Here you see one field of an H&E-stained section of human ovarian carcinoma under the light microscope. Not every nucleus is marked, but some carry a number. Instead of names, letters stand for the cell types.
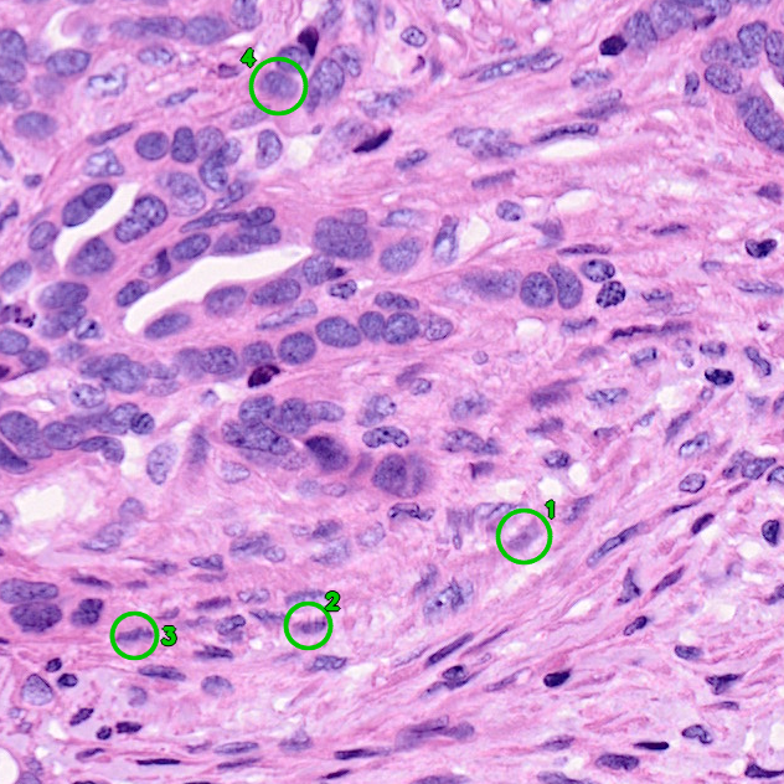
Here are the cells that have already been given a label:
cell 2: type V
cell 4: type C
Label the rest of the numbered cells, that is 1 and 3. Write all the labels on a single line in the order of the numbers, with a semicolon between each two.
type V; type V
